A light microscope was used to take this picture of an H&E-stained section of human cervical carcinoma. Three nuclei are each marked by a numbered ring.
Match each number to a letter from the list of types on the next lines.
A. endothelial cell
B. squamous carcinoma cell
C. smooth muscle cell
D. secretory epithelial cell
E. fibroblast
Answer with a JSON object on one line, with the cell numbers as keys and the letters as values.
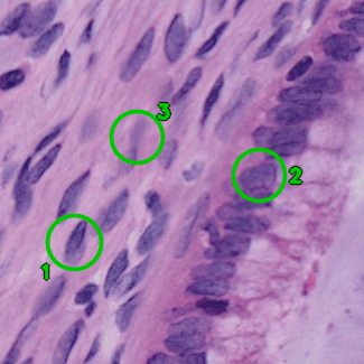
{"1": "E", "2": "D", "3": "E"}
